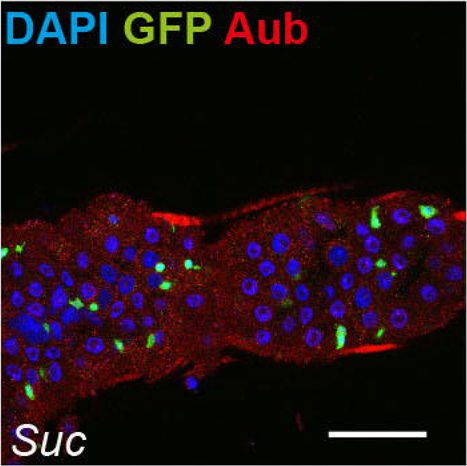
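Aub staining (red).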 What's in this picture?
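The midgut epithelium shows large, round blue nuclei spaced regularly across the tissue, with small green cells scattered singly or in pairs between them. The green cells are small and compact, far fewer and smaller than the big-nucleated cells around them. Red staining is faint and diffuse across the epithelium, brighter only along the tissue edges.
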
